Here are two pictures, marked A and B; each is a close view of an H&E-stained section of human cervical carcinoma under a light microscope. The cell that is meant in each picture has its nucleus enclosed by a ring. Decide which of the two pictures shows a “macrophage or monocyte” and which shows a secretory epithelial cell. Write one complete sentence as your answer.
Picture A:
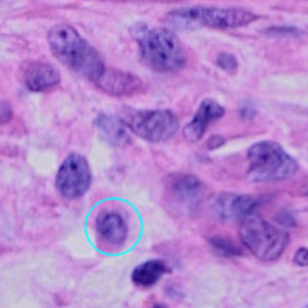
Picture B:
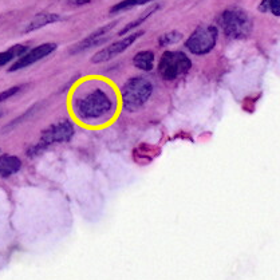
In picture A the cell is a “macrophage or monocyte”; in picture B, a secretory epithelial cell.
